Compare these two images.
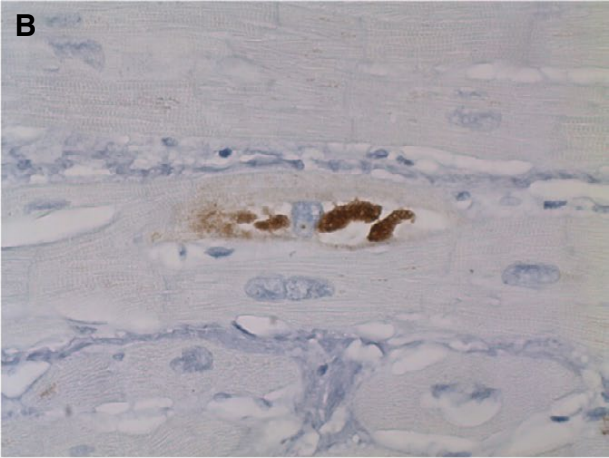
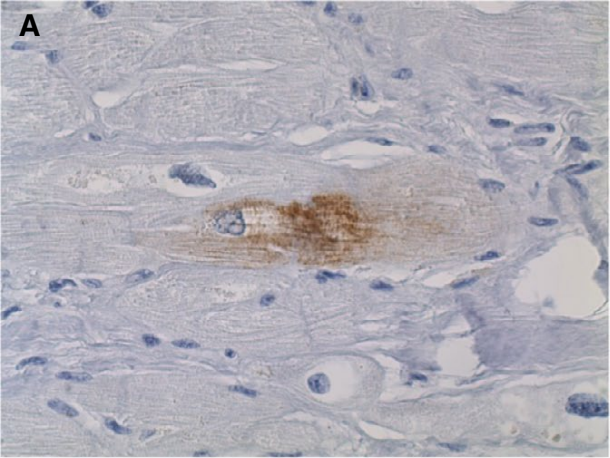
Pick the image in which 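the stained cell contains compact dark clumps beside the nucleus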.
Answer: The first image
